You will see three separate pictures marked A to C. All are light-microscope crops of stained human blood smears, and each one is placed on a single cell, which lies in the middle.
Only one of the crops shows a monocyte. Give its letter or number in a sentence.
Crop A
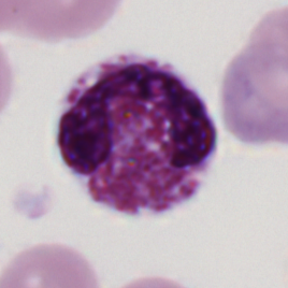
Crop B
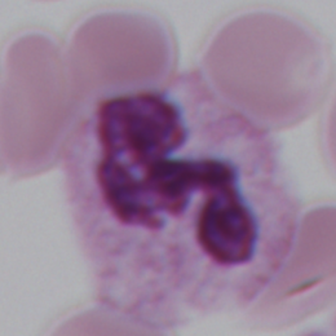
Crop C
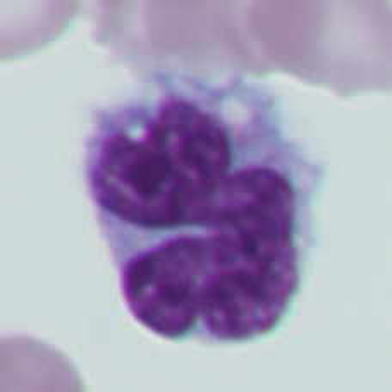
The crop carrying a monocyte at the center is crop C.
